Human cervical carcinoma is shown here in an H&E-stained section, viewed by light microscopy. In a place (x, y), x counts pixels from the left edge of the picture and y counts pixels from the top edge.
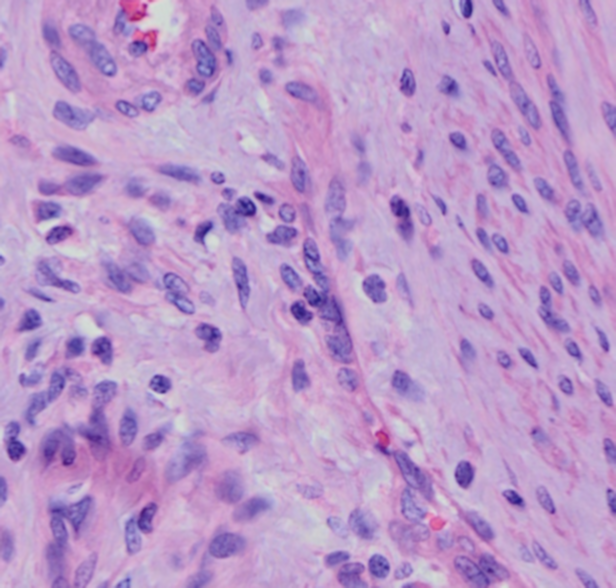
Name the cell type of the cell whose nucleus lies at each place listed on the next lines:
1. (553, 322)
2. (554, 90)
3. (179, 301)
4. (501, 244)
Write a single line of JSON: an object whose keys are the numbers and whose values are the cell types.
{"1": "smooth muscle cell", "2": "smooth muscle cell", "3": "endothelial cell", "4": "smooth muscle cell"}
